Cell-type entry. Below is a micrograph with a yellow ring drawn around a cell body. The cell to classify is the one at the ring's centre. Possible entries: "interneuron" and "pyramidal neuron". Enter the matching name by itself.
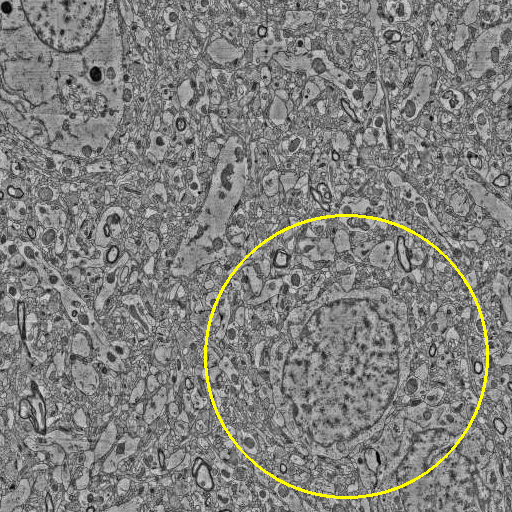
interneuron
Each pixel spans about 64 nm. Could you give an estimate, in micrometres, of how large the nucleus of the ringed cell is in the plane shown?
About 10 micrometres by about 7 micrometres in this plane.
